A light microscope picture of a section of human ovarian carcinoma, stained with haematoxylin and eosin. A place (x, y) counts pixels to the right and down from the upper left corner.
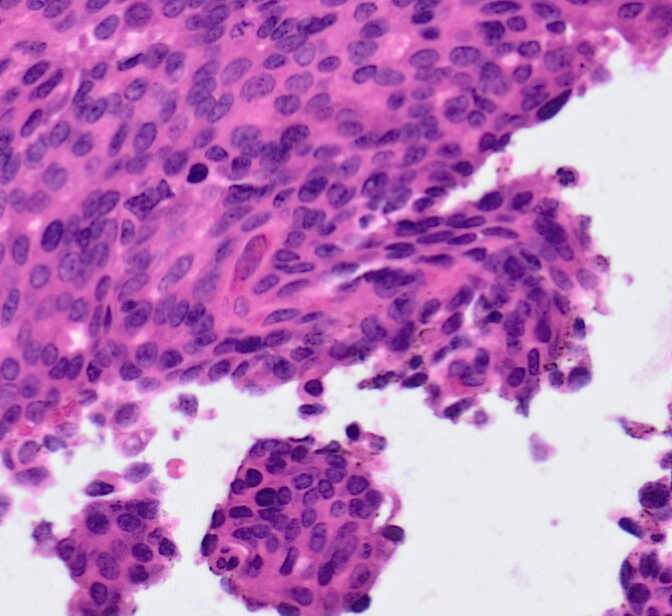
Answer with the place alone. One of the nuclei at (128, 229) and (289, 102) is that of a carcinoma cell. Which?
(289, 102)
